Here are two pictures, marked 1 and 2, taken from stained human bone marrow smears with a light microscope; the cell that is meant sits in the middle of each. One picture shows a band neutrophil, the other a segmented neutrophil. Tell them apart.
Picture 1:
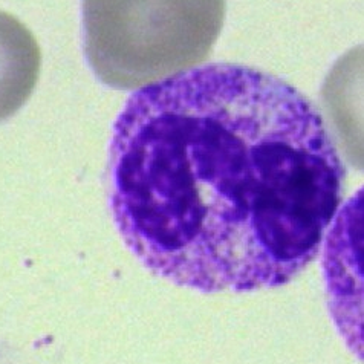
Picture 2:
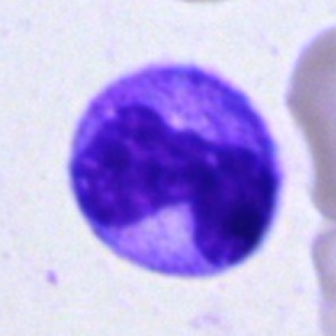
1: segmented neutrophil
2: band neutrophil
